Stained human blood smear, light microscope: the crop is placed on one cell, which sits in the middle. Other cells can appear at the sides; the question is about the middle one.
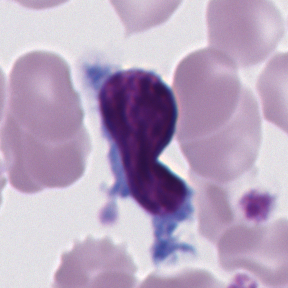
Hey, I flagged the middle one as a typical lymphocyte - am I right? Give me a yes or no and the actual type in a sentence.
Yes, the cell that occupies the centre is a typical lymphocyte.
